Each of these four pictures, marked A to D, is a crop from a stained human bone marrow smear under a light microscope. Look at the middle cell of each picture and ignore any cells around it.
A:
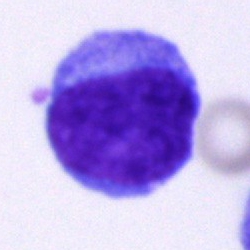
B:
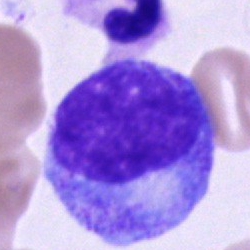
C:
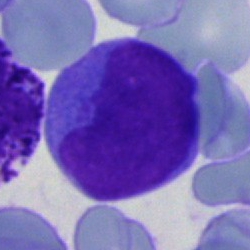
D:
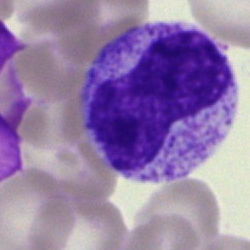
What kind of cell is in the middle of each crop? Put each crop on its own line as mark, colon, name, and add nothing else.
A: blast
B: promyelocyte
C: blast
D: metamyelocyte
